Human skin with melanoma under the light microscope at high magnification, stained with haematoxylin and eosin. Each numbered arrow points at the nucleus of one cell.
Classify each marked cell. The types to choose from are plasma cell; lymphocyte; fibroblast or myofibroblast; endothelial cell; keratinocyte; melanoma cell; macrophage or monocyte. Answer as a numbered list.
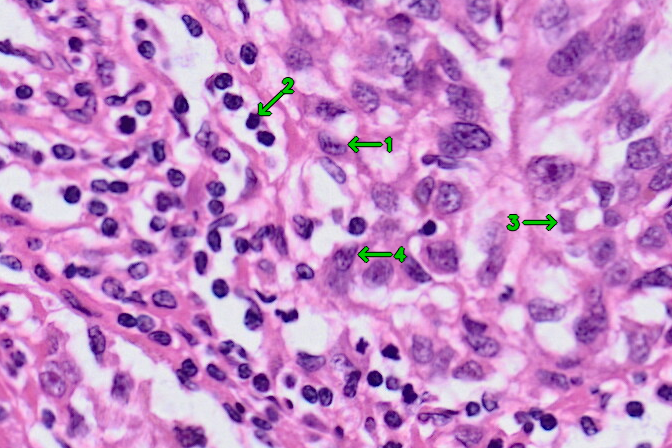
1. melanoma cell
2. lymphocyte
3. melanoma cell
4. melanoma cell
